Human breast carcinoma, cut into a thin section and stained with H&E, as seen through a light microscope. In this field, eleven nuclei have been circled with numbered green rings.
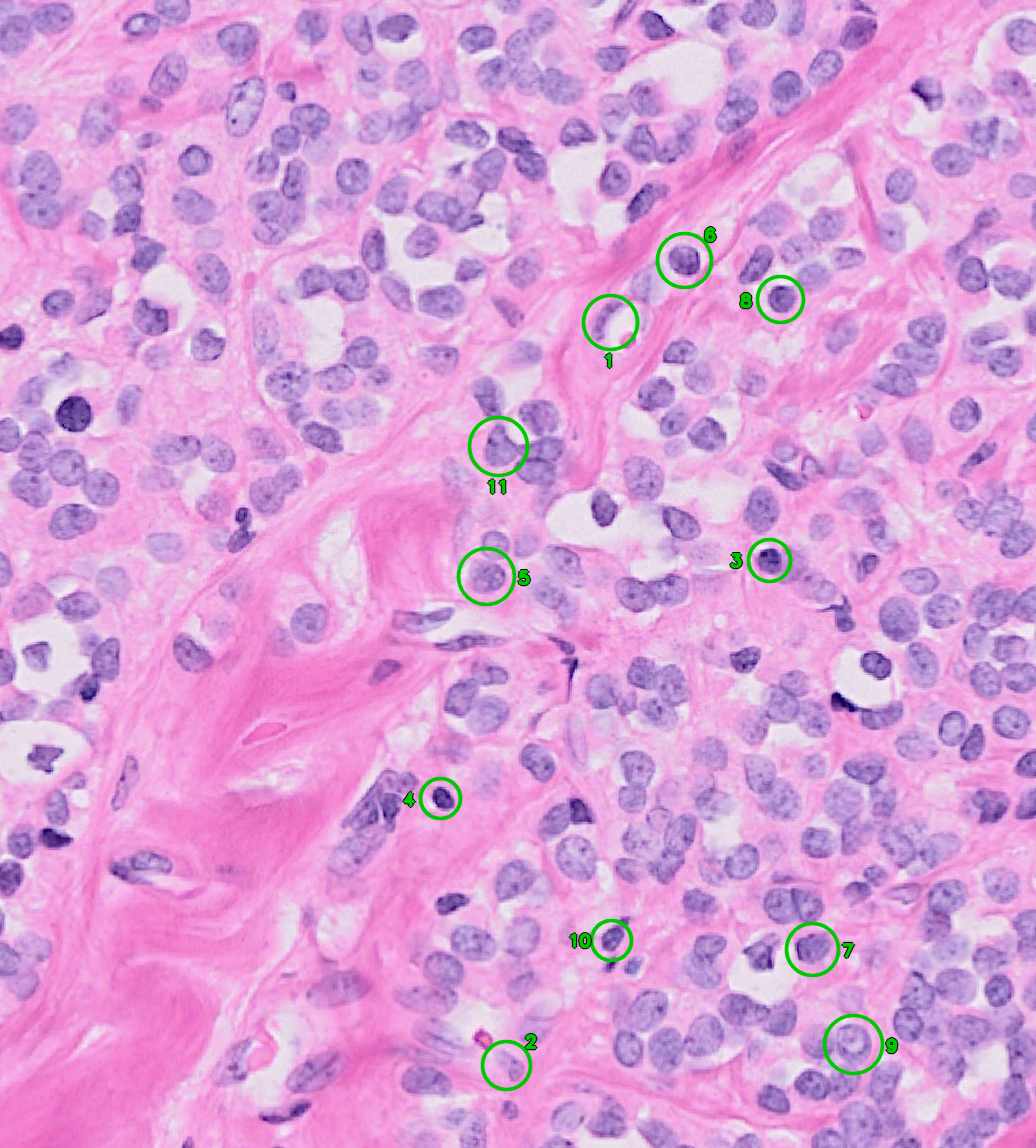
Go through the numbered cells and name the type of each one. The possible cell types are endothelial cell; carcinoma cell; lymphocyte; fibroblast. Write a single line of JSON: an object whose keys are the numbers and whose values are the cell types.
{"1": "endothelial cell", "2": "endothelial cell", "3": "lymphocyte", "4": "lymphocyte", "5": "carcinoma cell", "6": "carcinoma cell", "7": "carcinoma cell", "8": "carcinoma cell", "9": "carcinoma cell", "10": "lymphocyte", "11": "carcinoma cell"}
